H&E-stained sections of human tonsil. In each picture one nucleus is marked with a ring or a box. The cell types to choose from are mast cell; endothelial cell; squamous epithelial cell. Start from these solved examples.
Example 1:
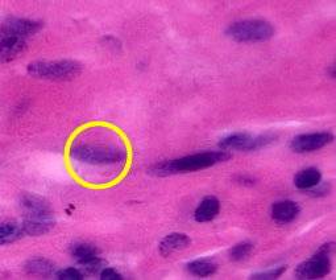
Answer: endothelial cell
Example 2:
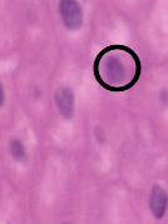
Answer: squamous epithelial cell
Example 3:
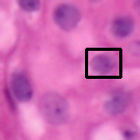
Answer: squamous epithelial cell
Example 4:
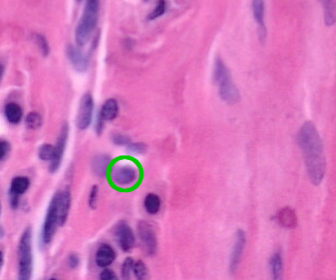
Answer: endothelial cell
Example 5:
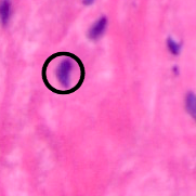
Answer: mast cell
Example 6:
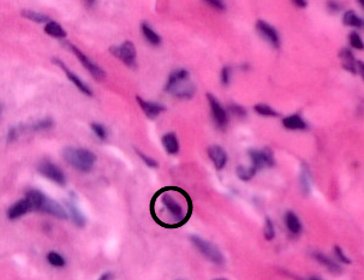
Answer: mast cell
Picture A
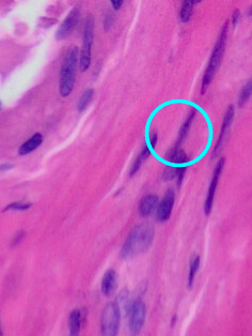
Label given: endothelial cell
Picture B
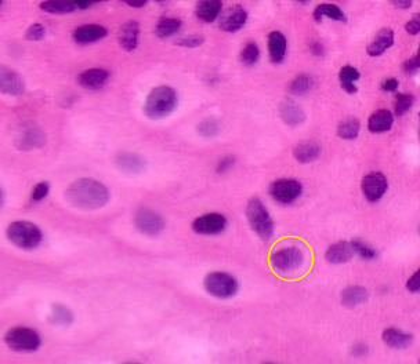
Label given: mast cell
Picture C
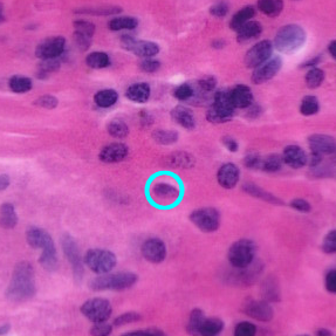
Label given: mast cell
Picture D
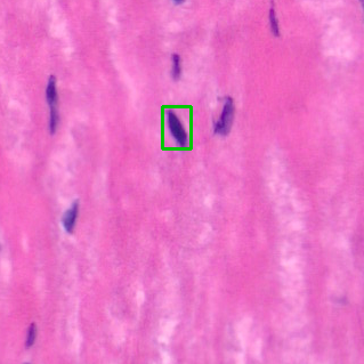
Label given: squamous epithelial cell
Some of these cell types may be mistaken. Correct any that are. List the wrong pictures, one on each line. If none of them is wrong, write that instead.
B is labelled mast cell; correct label: squamous epithelial cell
D is labelled squamous epithelial cell; correct label: mast cell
